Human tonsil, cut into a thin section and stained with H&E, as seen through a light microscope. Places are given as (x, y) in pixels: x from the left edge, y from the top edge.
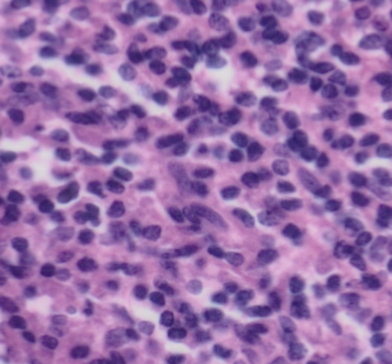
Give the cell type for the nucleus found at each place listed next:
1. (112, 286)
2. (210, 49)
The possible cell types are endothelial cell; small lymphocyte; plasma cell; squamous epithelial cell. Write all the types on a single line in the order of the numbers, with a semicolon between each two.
plasma cell; small lymphocyte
